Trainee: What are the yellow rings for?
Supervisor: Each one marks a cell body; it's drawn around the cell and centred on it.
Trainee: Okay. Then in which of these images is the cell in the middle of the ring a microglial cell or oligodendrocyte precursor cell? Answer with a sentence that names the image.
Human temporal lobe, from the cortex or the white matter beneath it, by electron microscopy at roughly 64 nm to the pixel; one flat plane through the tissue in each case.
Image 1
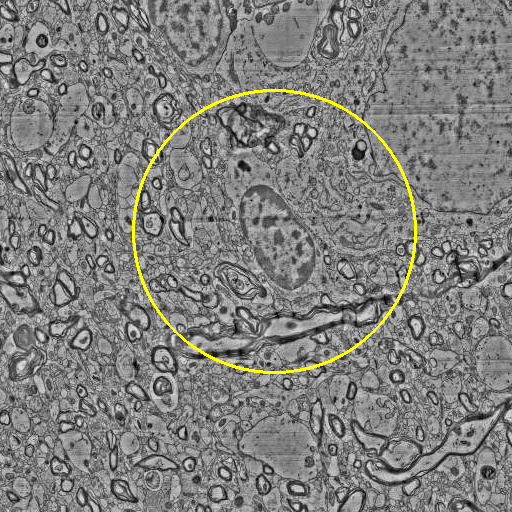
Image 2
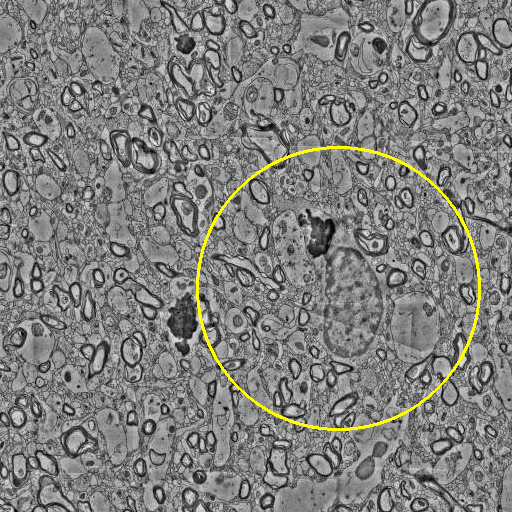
Image 1 has it in the middle of the ring.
